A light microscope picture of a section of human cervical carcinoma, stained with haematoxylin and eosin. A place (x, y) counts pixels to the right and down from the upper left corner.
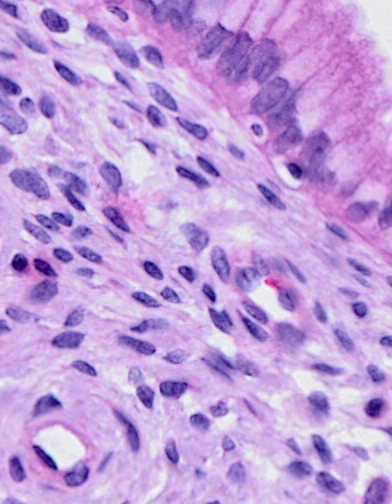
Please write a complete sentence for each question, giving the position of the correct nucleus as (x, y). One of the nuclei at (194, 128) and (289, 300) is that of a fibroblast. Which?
In this pair, the nucleus at (194, 128) belongs to a fibroblast.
